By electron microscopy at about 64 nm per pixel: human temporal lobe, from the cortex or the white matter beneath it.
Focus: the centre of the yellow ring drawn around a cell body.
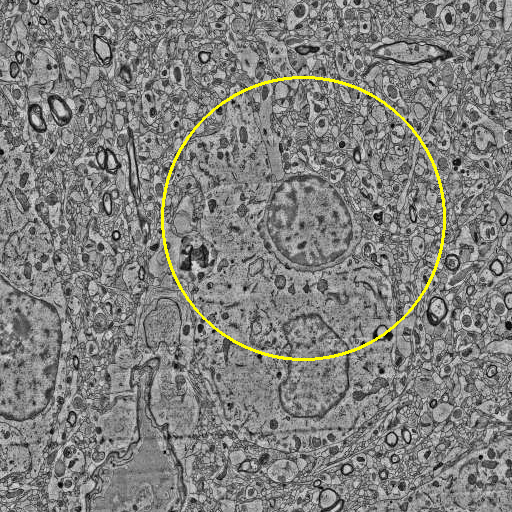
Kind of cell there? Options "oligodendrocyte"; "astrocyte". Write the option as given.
oligodendrocyte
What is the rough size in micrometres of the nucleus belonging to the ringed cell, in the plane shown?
The nucleus is approximately 6 micrometers long by 5 micrometers wide in this plane.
